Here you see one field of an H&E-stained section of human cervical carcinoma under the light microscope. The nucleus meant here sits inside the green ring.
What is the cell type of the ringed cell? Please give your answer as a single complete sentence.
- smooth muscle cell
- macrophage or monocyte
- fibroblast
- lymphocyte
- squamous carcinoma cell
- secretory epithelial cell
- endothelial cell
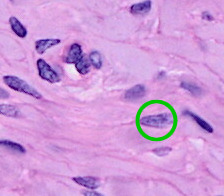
Students should answer that the ringed cell is a fibroblast.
